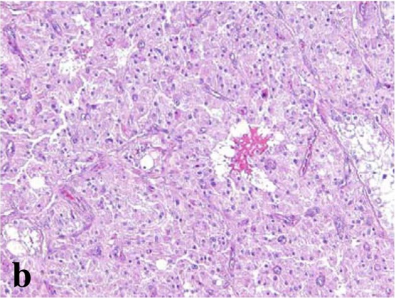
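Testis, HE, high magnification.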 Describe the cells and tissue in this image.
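Sheets of closely packed polygonal cells fill the field, with no tubules among them. The cells have ample pink, finely granular cytoplasm and round, centrally placed dark nuclei. Thin strands of stroma and small vessels run between the cell groups, and one small space holds red blood cells. This solid growth of uniform eosinophilic cells fits a Leydig cell adenoma.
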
